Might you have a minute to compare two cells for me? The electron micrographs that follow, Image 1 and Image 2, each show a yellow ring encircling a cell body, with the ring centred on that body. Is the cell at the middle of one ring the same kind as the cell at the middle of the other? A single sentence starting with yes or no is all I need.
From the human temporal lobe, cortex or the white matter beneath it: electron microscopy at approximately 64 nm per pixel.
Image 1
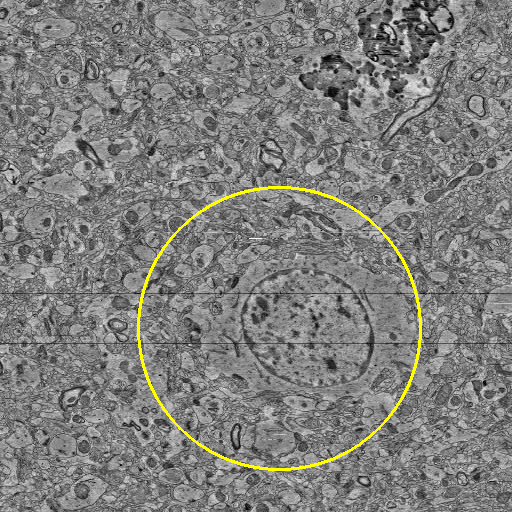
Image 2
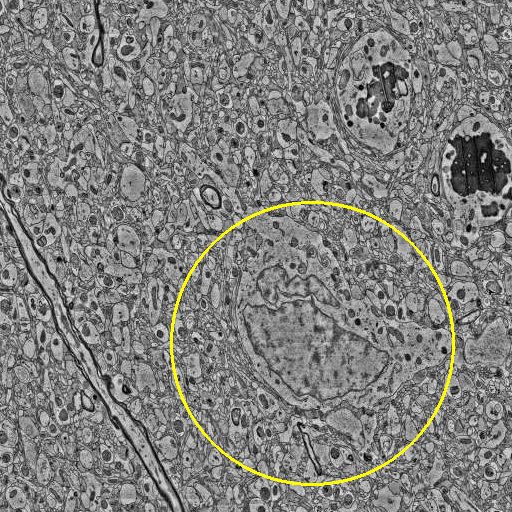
No, the cells in the middle of the two rings are of two separate kinds.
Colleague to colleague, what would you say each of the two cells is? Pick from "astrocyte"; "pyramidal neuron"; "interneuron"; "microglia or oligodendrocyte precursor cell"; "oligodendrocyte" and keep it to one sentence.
The cell in the first picture is an astrocyte; the second picture's cell is an interneuron.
